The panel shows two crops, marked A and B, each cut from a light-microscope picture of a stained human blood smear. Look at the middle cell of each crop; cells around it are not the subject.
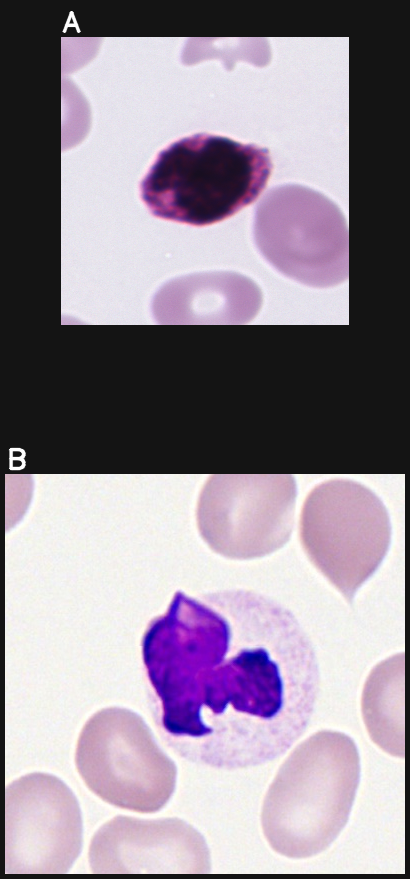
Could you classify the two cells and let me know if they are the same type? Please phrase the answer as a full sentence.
No, the cell shown in crop A is a basophil, and the cell shown in crop B is a segmented neutrophil.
